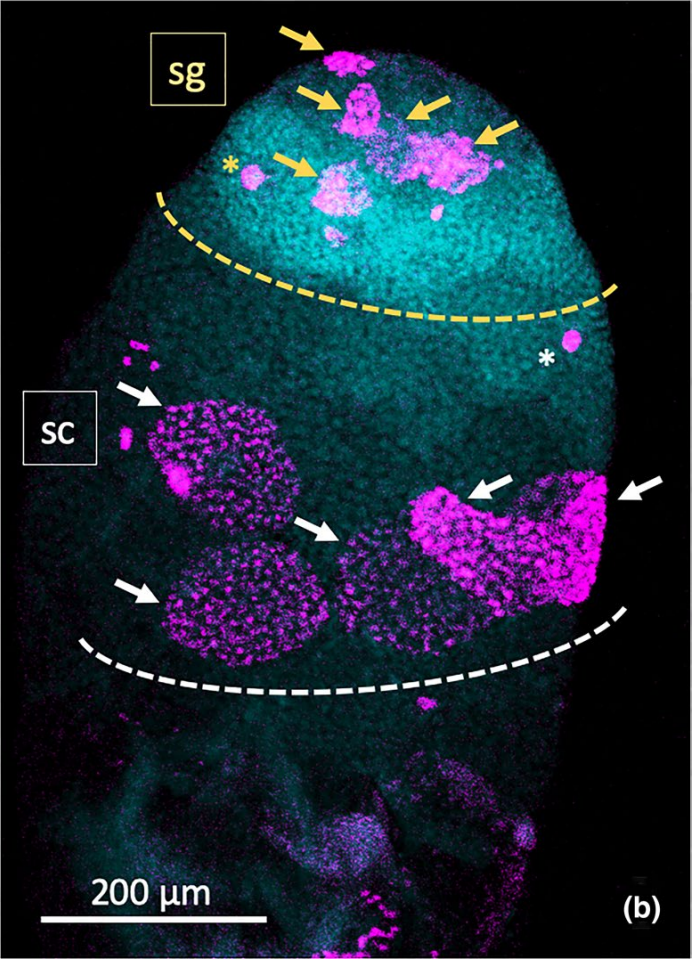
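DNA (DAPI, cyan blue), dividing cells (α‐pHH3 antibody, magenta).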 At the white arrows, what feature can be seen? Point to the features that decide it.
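Spermatocysts. All nuclei within one cluster are labeled together.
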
